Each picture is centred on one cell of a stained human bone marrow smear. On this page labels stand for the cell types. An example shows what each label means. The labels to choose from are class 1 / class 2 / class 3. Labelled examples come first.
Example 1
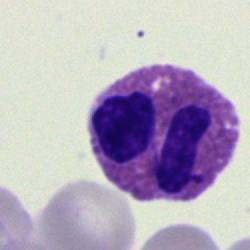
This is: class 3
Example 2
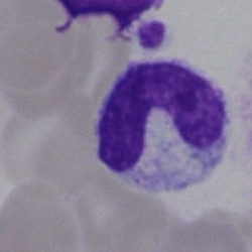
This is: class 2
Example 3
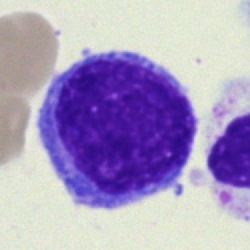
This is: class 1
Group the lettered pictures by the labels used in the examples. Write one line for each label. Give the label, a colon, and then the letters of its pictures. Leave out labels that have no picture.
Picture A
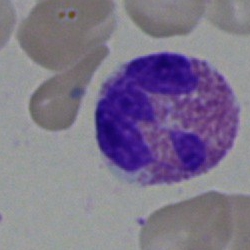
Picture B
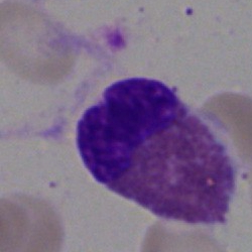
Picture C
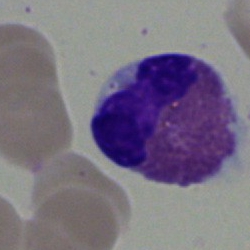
class 3: A, B, C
